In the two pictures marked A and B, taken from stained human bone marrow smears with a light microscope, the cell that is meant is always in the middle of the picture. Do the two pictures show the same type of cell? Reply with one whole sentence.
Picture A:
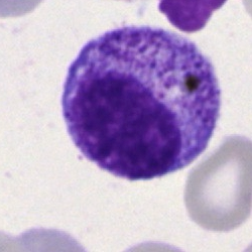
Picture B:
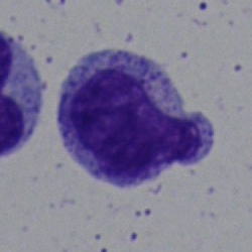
Yes, both cells are myelocytes.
